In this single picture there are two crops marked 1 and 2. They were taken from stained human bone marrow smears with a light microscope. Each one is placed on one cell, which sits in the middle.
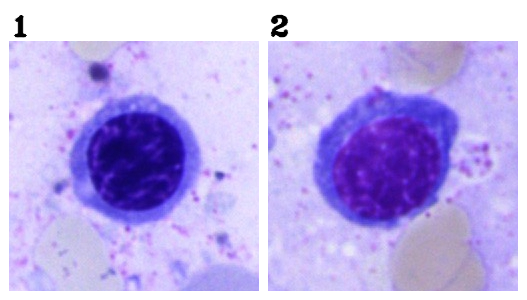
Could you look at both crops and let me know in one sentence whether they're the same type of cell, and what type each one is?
Yes, the two cells in the two crops are normoblasts.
